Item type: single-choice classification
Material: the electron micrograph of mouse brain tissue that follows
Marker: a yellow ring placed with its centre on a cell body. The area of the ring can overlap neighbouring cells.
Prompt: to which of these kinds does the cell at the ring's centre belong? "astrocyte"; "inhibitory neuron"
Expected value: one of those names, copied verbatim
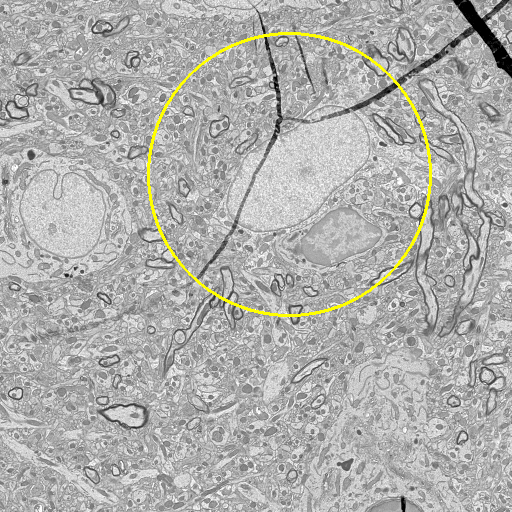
astrocyte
